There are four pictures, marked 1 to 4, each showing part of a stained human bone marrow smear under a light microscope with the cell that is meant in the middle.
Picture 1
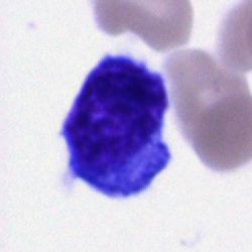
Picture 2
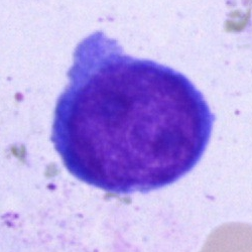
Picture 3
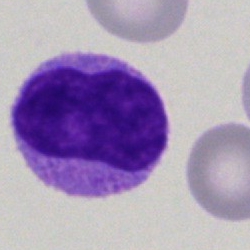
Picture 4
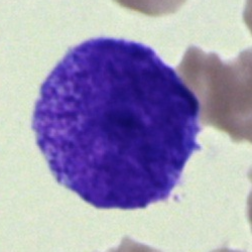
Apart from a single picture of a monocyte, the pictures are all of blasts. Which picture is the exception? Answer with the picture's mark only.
3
